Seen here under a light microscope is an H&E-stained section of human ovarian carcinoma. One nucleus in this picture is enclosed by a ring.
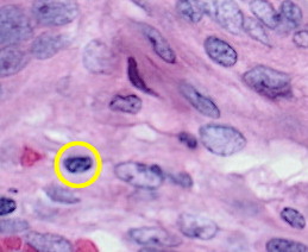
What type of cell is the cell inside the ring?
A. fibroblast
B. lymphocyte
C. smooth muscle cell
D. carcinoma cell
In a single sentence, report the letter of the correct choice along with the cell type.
In this case the cell inside the ring is a lymphocyte, so option B is correct.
